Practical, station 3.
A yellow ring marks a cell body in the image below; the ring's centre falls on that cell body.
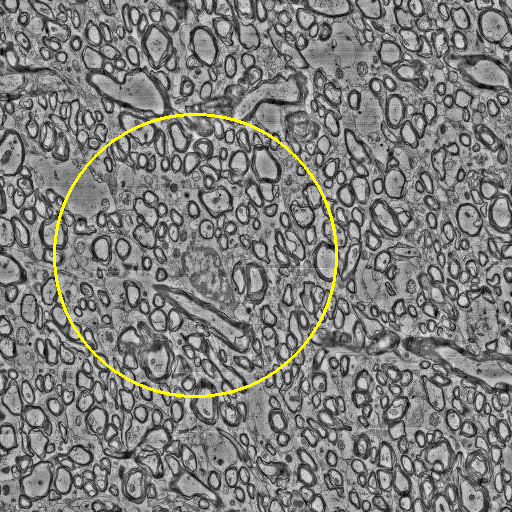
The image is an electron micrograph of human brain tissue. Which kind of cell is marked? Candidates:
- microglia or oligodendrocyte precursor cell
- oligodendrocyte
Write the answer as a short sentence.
The marked cell body is that of an oligodendrocyte.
